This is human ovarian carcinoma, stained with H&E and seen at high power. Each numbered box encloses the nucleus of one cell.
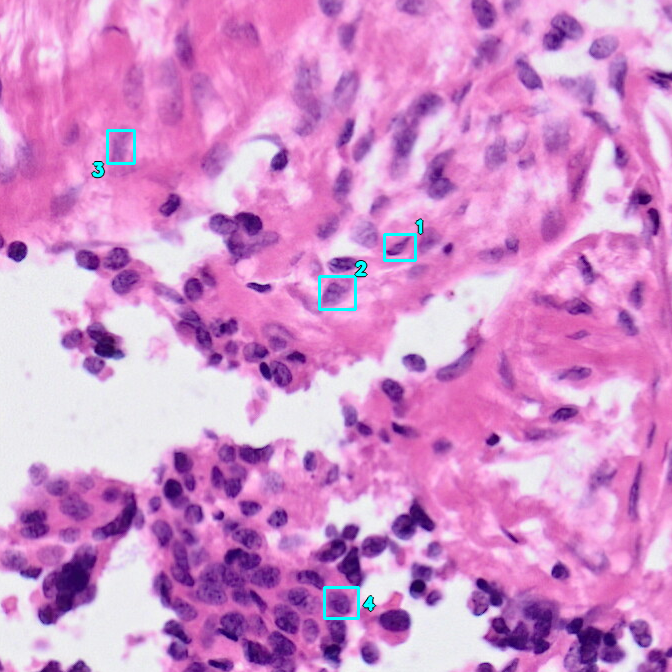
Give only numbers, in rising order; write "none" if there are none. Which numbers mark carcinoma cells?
4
